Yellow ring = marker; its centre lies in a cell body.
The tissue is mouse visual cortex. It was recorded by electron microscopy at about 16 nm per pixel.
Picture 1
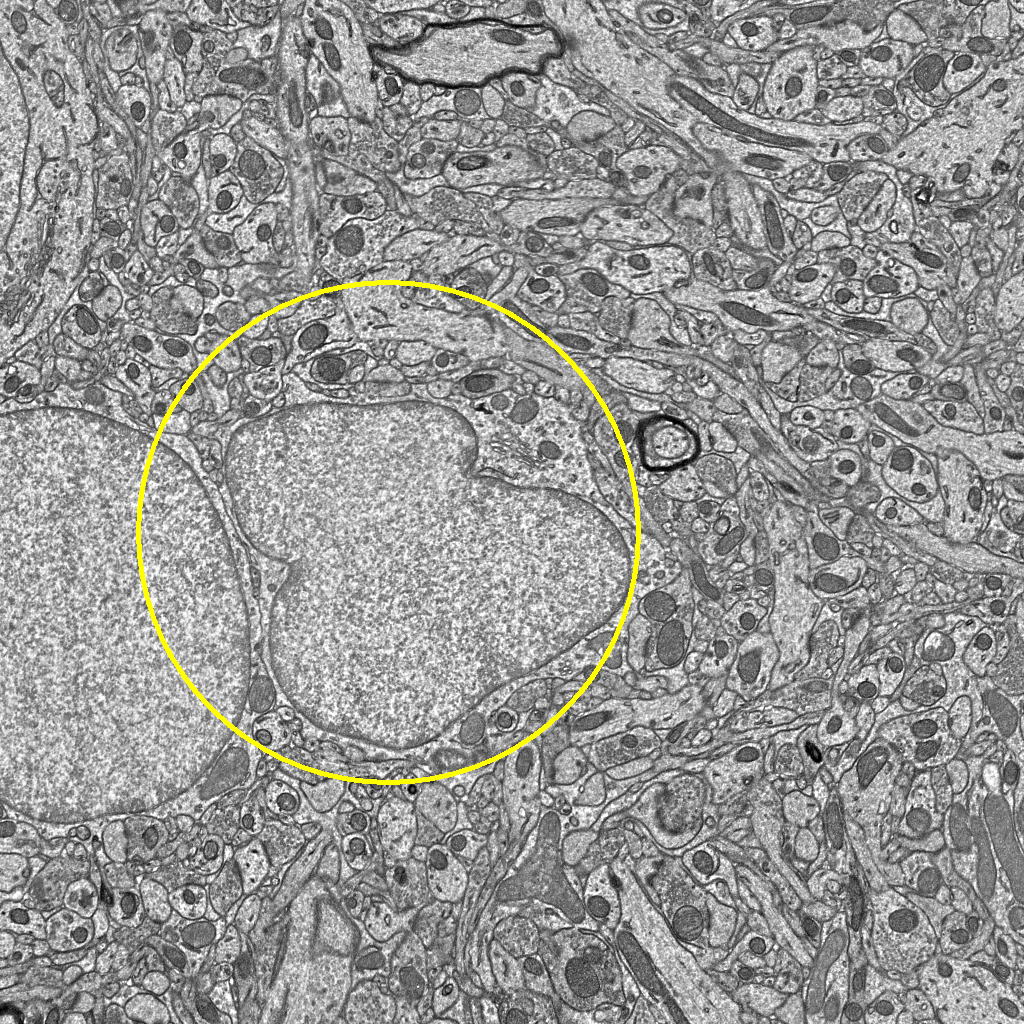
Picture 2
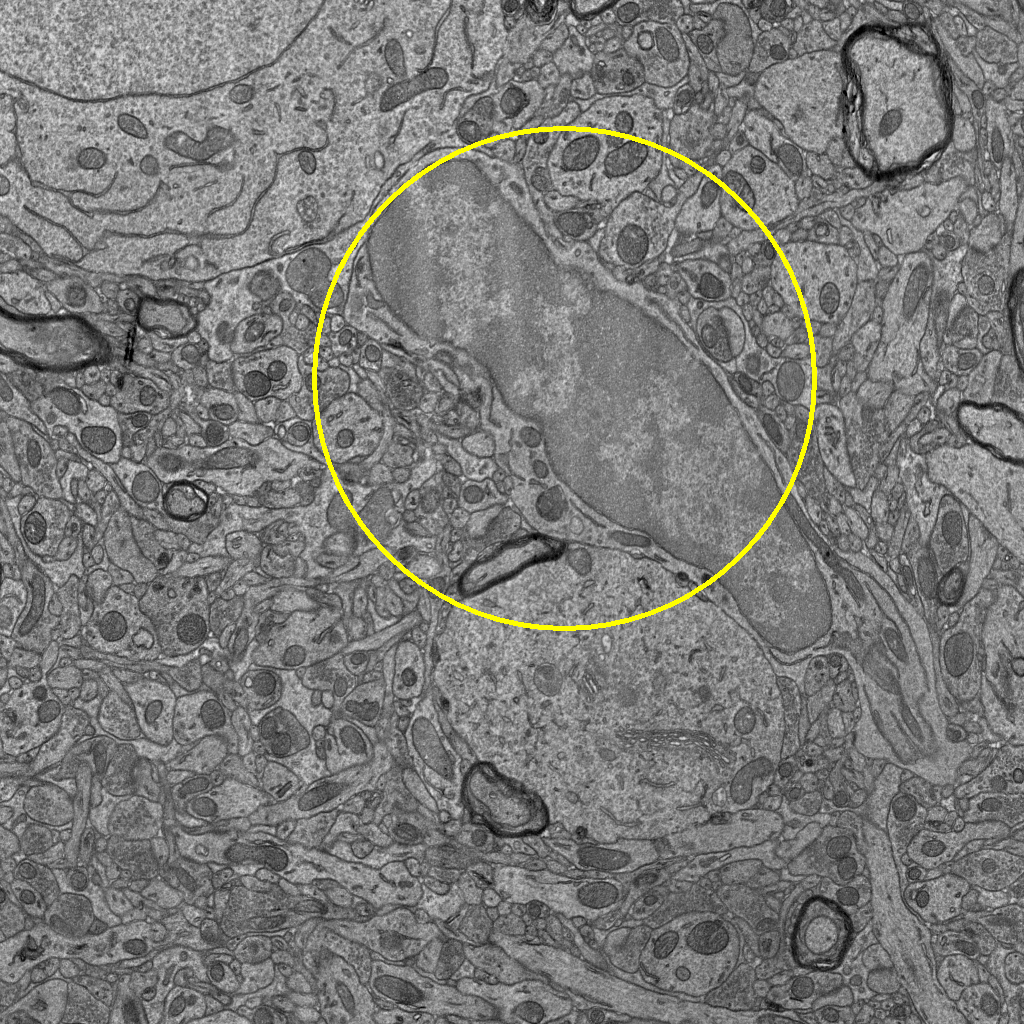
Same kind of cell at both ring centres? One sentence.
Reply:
No, they are two kinds of cell.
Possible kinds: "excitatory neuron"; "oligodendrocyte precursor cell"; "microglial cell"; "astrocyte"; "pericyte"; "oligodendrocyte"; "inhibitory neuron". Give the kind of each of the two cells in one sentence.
The one in the first picture is an astrocyte, while the one in the second is a microglial cell.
